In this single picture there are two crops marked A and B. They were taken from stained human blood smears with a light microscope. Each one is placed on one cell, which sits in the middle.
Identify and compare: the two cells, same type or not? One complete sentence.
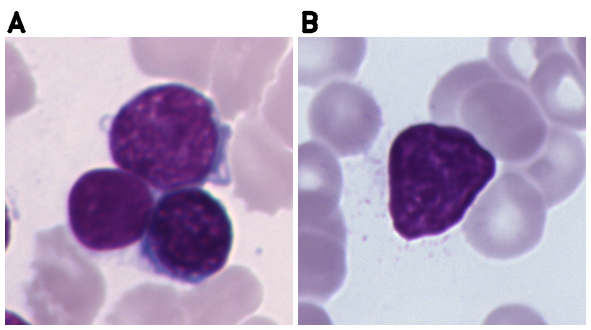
No, a smudge cell is the cell in crop B, and crop A contains a myeloblast.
